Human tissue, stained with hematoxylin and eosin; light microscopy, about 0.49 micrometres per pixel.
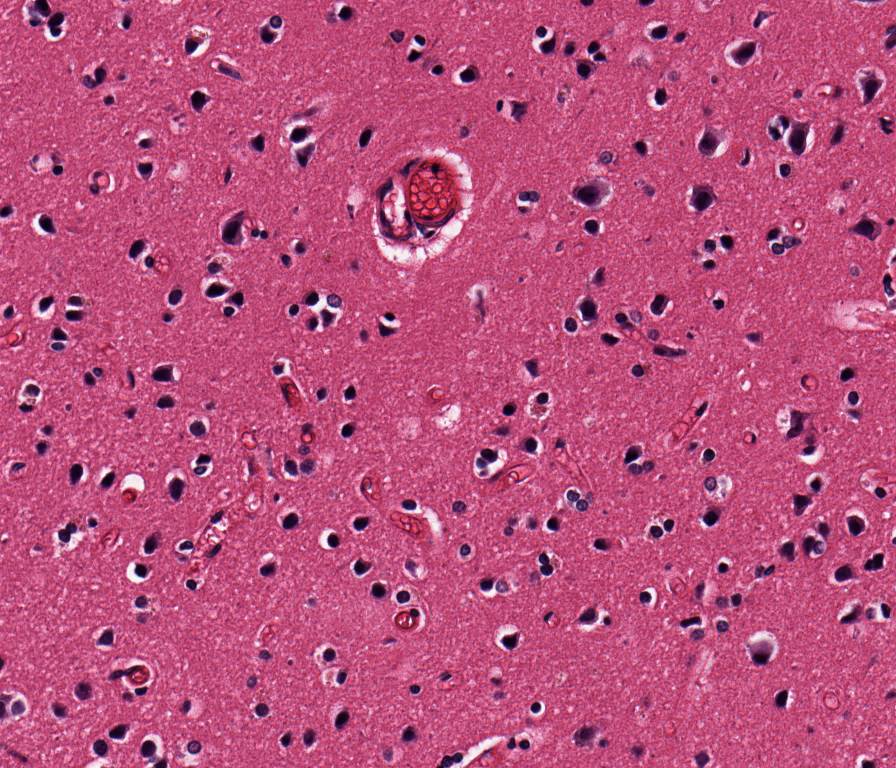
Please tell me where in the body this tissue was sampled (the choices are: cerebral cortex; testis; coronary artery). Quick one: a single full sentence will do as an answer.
The sample on this slide was obtained from the cerebral cortex.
